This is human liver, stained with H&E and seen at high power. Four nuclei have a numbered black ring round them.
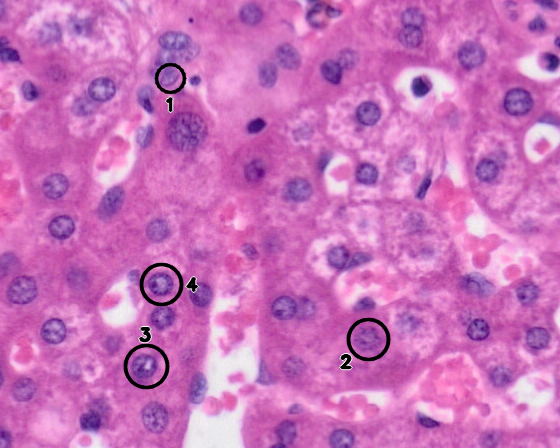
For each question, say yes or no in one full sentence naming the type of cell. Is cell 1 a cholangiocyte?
Yes, the cell sitting at number 1 is a cholangiocyte.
